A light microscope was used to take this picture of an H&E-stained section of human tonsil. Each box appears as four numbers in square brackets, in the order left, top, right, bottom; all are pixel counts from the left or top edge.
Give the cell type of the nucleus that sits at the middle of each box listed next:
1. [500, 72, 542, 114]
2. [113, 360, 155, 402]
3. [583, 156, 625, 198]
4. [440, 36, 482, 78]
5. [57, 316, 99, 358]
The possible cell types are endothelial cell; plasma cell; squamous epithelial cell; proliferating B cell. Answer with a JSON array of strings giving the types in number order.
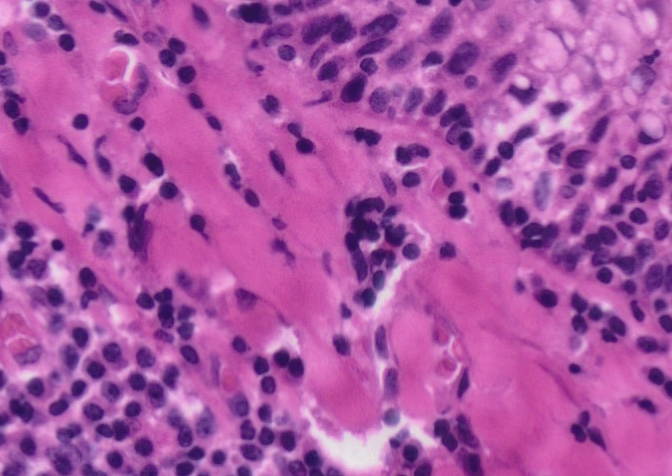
["squamous epithelial cell", "plasma cell", "squamous epithelial cell", "squamous epithelial cell", "plasma cell"]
